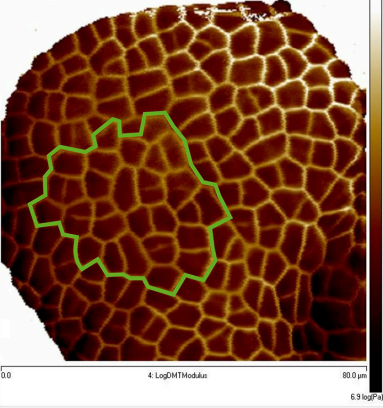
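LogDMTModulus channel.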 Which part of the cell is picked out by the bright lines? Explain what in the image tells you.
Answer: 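Thin bright lines form a closed polygonal network. Each dark brown polygon enclosed by bright lines is the size of a single cell. On this evidence: cell contours.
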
